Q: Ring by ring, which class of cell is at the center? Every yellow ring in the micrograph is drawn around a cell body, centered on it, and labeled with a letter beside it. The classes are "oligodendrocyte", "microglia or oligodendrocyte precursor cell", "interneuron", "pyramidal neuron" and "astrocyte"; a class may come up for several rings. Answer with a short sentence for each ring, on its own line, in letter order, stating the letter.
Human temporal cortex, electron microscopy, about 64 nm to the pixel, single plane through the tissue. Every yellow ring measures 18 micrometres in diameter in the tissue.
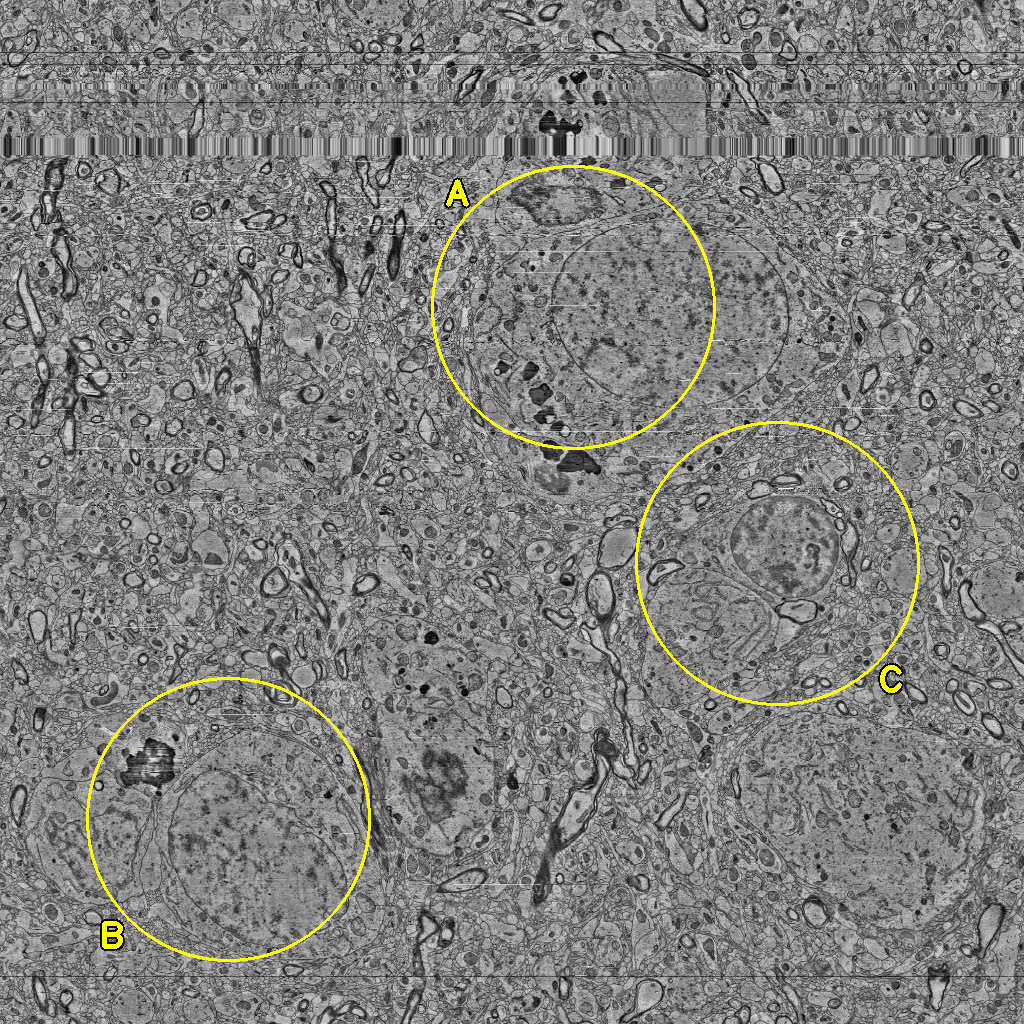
Ring A holds a pyramidal neuron at its center.
Ring B holds a pyramidal neuron at its center.
Ring C holds an oligodendrocyte at its center.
